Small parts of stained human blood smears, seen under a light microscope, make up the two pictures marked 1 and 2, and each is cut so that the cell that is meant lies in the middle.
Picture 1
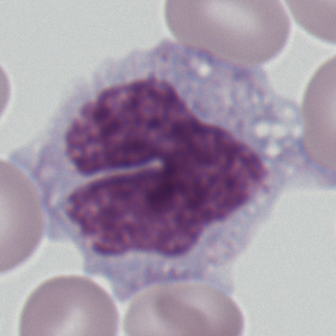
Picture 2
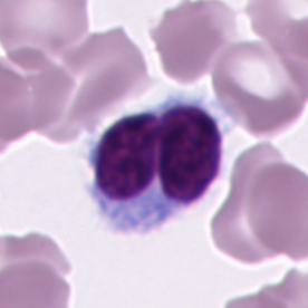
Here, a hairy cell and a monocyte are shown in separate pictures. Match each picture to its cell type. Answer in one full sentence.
In picture 1 the cell is a monocyte; in picture 2, a hairy cell.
